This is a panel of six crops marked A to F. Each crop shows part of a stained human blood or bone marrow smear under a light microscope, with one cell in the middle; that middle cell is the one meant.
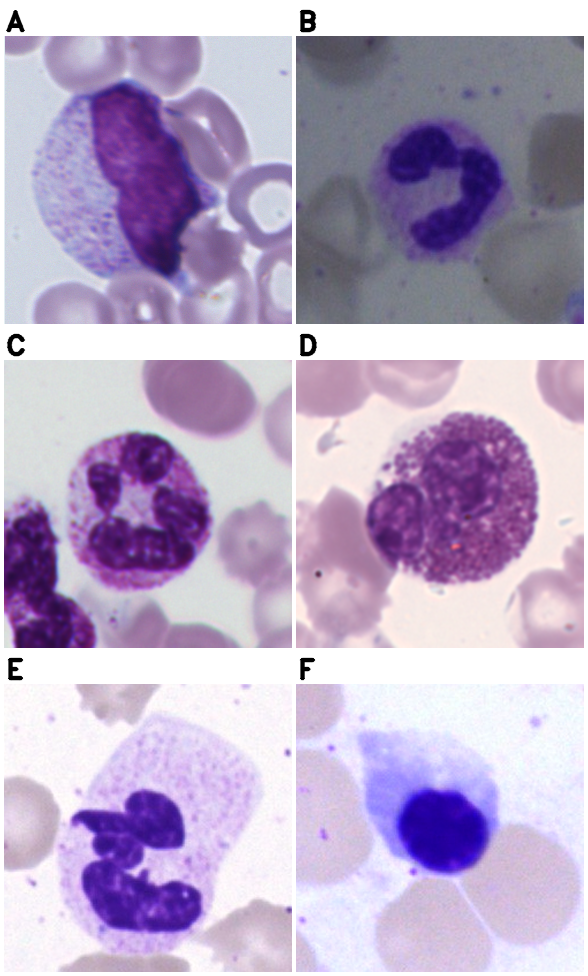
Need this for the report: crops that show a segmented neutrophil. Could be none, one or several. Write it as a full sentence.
The cells sitting in the middle of crops B, C and E are segmented neutrophils.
